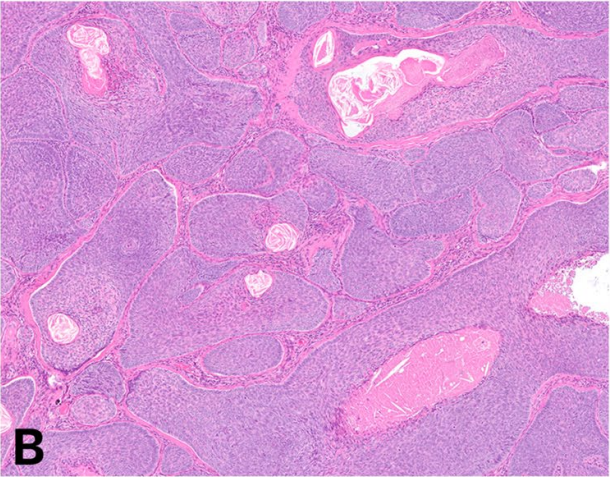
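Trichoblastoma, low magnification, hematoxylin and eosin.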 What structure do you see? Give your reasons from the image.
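Keratin cysts. Several round spaces within the purple nests hold pale pink laminated flaky material. The larger pink deposits sit in the center of tumor lobules.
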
